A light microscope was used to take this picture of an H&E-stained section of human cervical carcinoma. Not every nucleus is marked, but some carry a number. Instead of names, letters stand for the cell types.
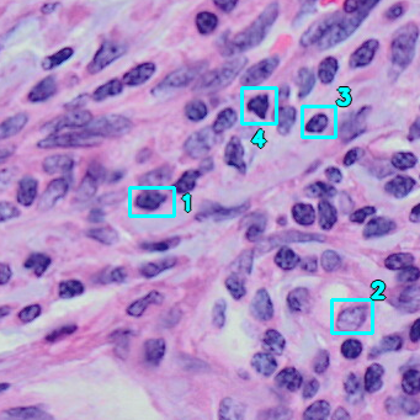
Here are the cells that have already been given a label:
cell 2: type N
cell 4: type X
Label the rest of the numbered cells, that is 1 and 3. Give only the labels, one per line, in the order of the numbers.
type X
type X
